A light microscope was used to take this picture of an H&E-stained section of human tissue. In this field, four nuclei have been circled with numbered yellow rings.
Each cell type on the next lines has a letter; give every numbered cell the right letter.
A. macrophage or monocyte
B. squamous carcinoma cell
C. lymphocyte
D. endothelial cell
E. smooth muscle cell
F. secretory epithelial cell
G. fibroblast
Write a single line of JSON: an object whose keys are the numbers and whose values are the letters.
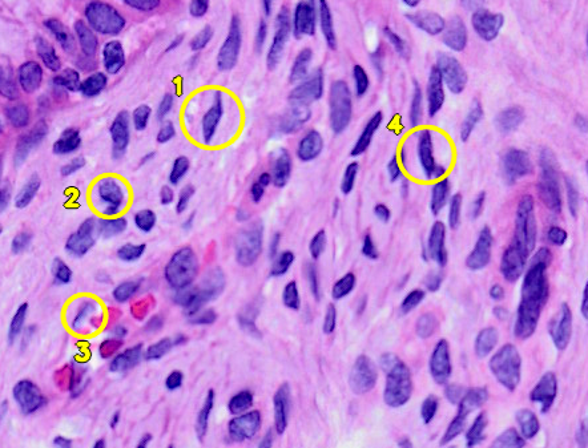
{"1": "G", "2": "G", "3": "D", "4": "G"}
